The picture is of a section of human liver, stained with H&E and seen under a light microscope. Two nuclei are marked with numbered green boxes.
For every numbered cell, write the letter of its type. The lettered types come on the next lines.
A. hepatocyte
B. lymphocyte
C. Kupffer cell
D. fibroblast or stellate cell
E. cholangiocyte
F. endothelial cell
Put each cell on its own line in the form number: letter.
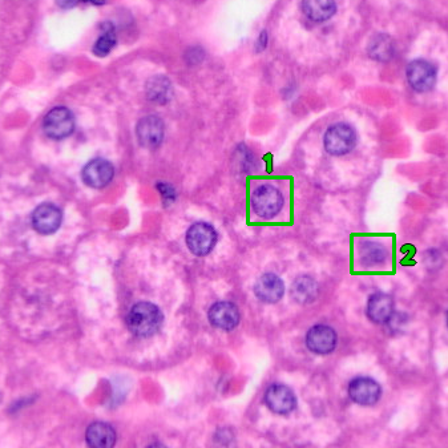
1: A
2: F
